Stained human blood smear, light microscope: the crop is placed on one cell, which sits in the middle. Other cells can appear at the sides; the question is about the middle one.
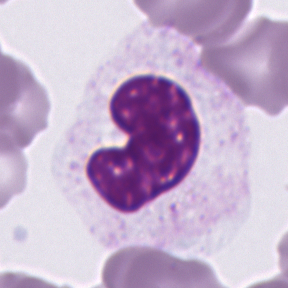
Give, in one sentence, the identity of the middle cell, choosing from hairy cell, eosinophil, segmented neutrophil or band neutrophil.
In the crop, the cell of interest at the centre is a band neutrophil.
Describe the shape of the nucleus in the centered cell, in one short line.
If you check the nucleus, you will find one compact mass, round, oval or kidney-shaped.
